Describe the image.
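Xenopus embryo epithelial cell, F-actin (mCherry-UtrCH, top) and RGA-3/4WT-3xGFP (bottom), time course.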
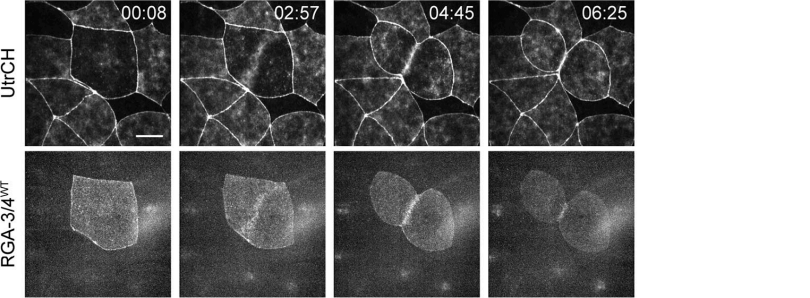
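One cell in the middle divides over the sequence: a bright band appears across its equator, the cell pinches in there, and it ends as two rounded daughter cells. In the lower row only this dividing cell is lit, with diffuse signal over its surface and a brighter line along the dividing plane.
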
